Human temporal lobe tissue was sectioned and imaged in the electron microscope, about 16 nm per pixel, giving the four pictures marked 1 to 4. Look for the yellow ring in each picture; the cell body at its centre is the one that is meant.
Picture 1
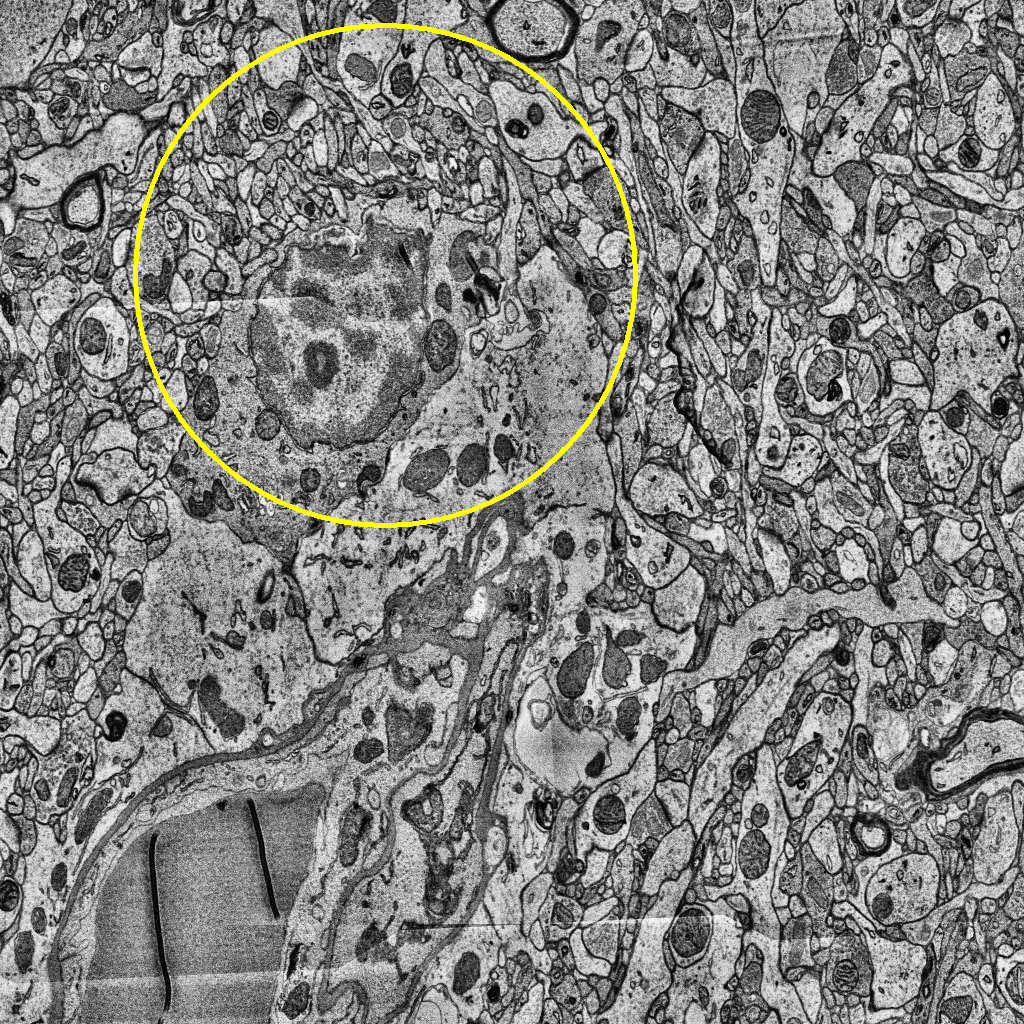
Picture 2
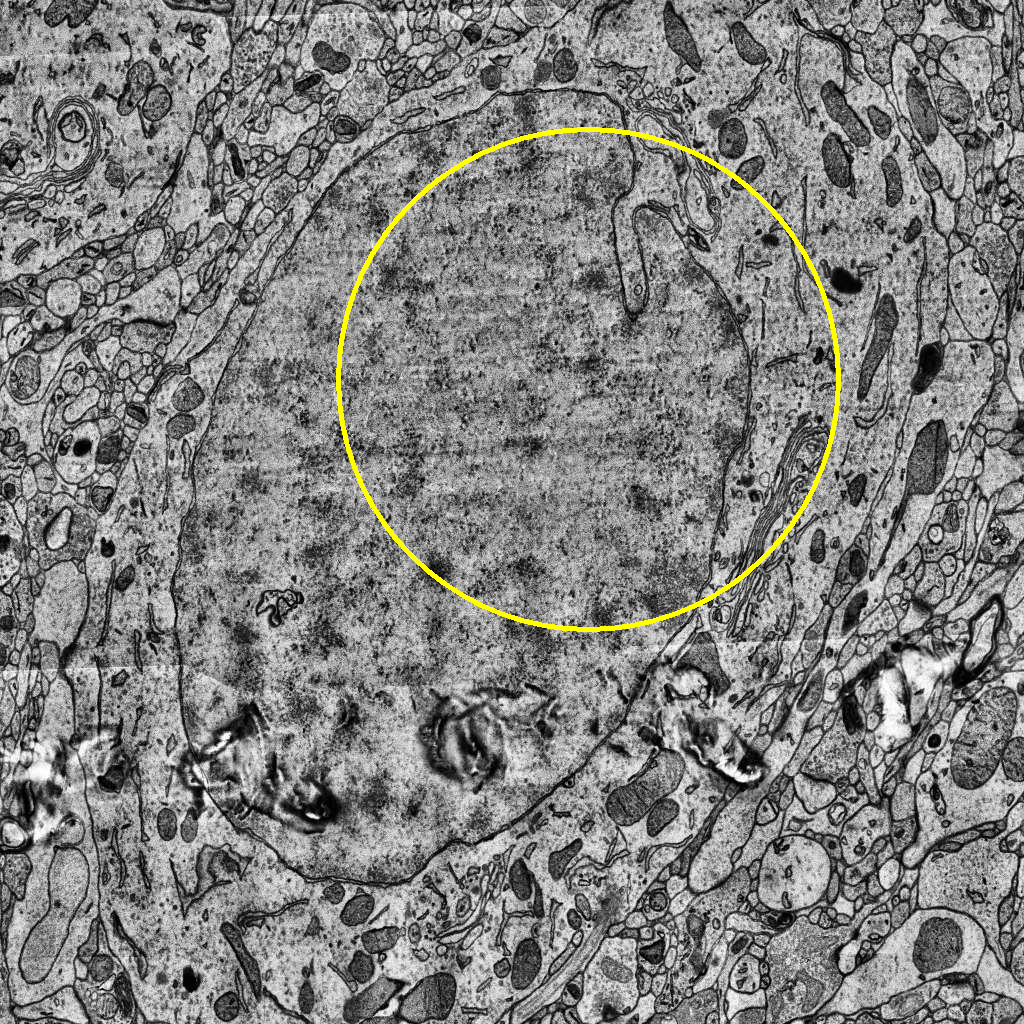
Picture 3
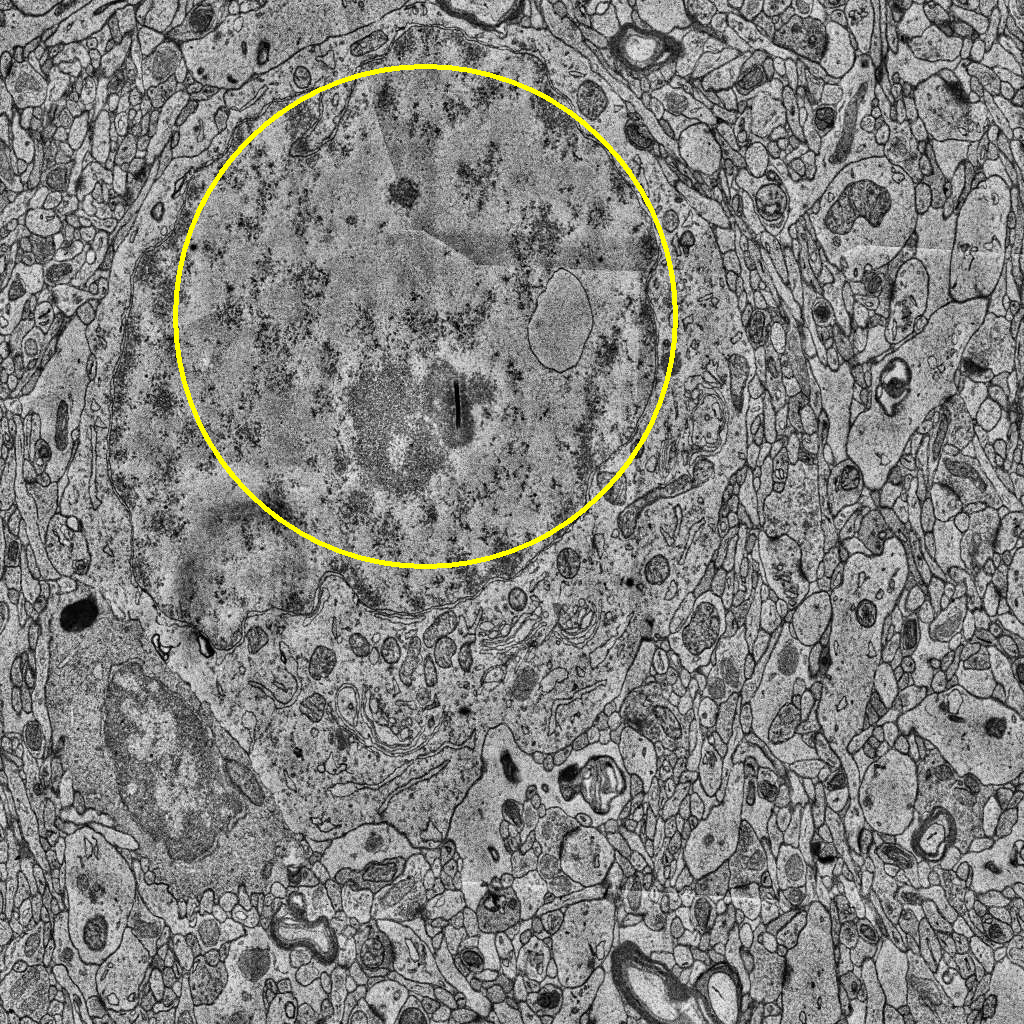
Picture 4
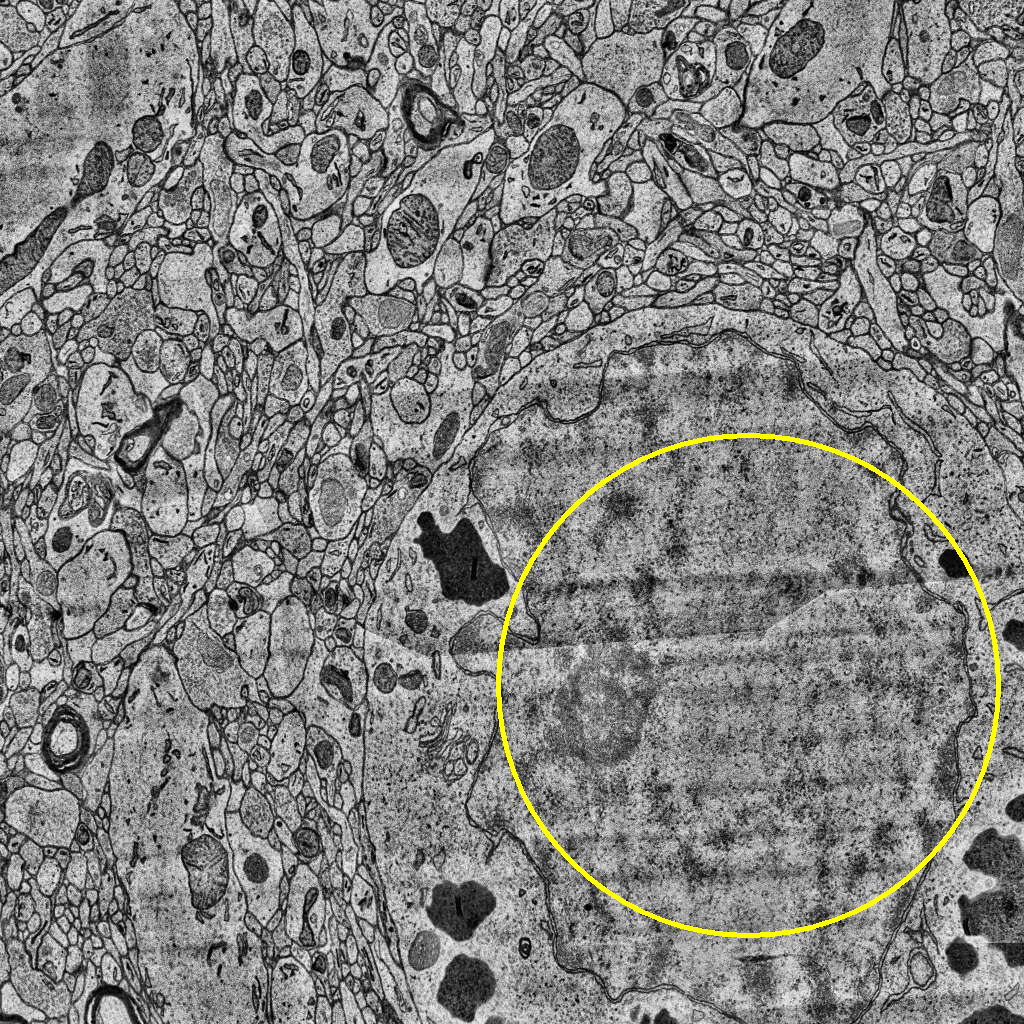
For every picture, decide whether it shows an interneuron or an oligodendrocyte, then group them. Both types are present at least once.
Pictures 2, 3 and 4 show interneurons, while picture 1 shows an oligodendrocyte.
